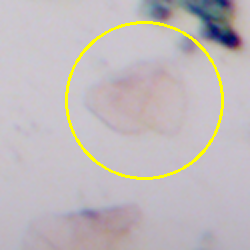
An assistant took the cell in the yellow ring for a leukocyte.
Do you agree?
I disagree, it is a cornified epithelial cell.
